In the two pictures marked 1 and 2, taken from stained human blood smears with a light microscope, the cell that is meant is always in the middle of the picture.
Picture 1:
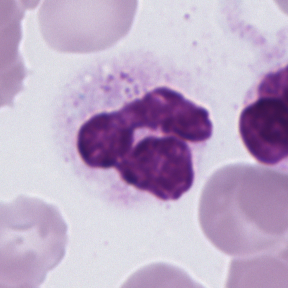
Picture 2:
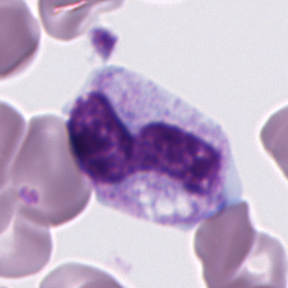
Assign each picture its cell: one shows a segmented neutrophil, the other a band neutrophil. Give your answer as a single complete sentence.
Picture 1 shows a segmented neutrophil and picture 2 shows a band neutrophil.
